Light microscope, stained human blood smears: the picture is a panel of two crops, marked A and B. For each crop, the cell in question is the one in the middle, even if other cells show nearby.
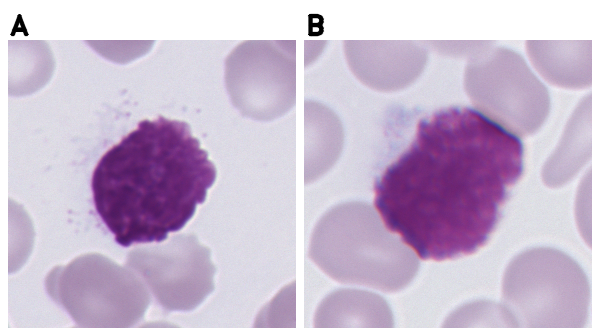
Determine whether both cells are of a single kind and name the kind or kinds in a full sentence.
Yes, smudge cells occupy the centre of both crops.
